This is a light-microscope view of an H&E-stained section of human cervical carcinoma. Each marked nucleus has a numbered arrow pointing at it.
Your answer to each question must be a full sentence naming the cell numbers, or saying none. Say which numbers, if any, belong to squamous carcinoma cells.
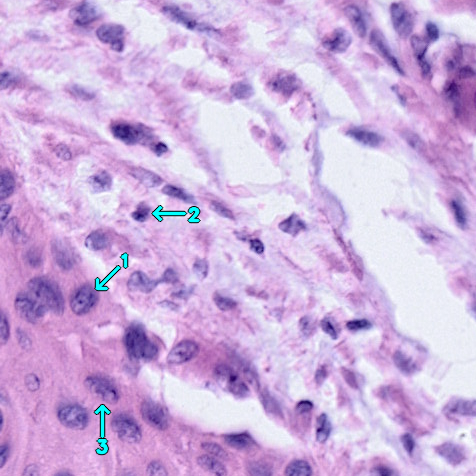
The cells numbered 1 and 3 are typed as squamous carcinoma cells.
